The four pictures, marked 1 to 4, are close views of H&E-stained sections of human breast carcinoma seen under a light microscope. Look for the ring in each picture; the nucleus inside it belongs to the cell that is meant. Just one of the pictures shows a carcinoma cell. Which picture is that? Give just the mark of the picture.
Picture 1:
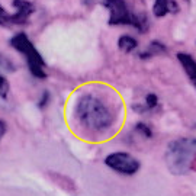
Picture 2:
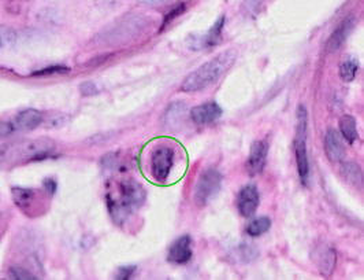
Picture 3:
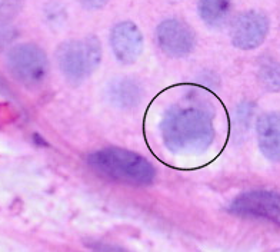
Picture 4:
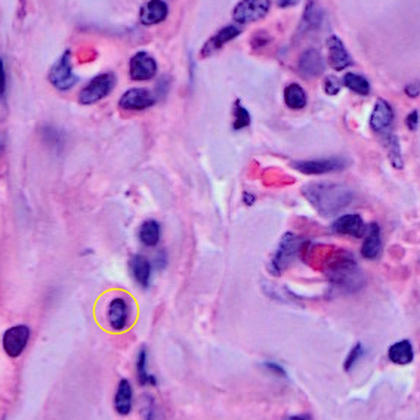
3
